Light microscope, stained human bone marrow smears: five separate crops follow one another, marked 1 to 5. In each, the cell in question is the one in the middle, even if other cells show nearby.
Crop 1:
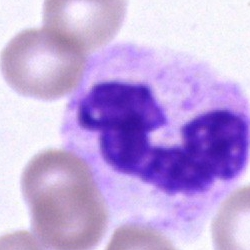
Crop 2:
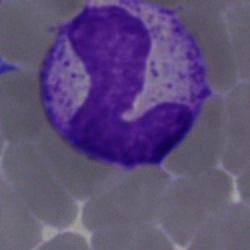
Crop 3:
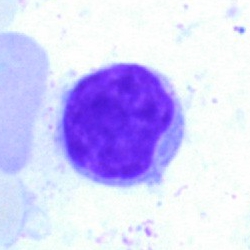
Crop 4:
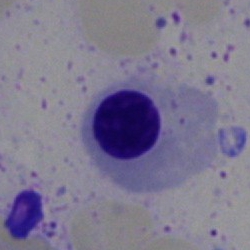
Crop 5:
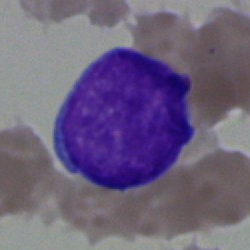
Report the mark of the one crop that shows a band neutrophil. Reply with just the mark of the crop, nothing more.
2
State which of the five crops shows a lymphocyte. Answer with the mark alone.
3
